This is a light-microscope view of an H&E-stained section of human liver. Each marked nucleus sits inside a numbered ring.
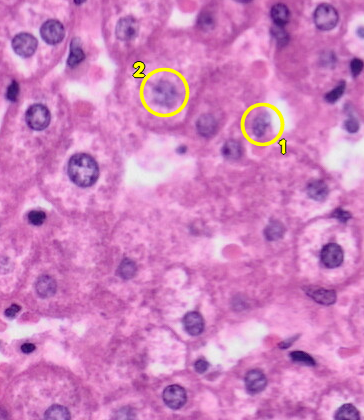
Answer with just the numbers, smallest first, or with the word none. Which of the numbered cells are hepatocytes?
2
